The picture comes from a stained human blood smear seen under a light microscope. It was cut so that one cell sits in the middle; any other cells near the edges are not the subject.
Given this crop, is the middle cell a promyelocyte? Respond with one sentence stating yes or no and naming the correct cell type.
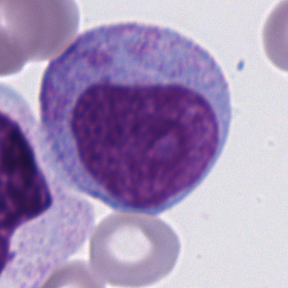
Yes, the centred cell is categorised as a promyelocyte.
